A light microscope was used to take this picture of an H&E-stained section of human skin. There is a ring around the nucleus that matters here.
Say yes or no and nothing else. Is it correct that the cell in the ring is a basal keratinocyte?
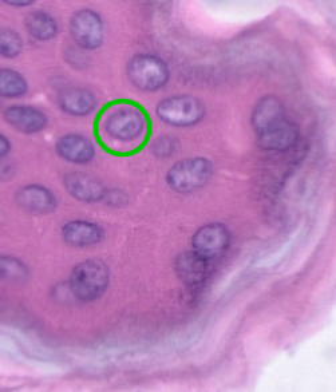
no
